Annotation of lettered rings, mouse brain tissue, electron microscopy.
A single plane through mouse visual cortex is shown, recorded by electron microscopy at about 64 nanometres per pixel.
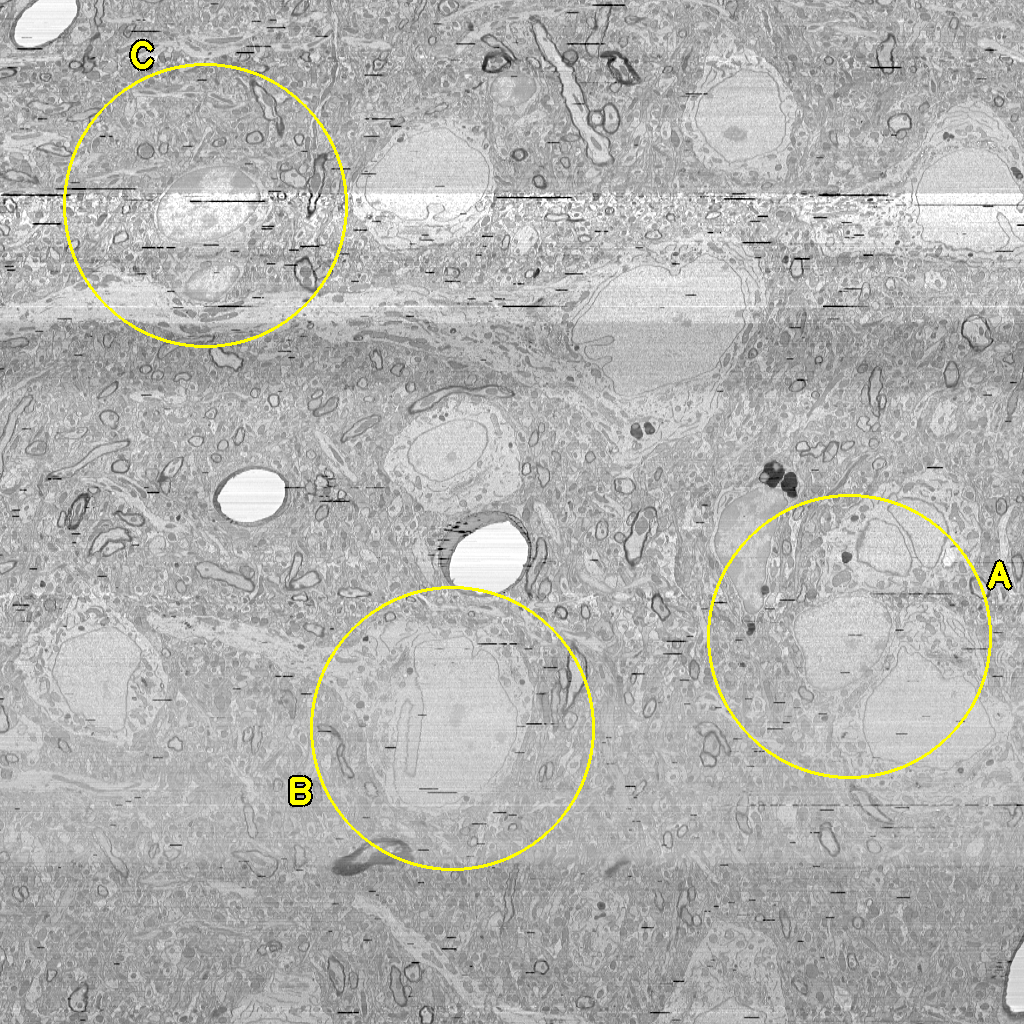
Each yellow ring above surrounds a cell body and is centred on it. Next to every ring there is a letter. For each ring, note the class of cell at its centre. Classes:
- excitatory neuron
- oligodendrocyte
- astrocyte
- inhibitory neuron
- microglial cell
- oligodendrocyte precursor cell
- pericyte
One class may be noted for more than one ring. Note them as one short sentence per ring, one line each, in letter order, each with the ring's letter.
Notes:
The class noted at ring A is an astrocyte.
The class noted at ring B is an excitatory neuron.
The class noted at ring C is an oligodendrocyte.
